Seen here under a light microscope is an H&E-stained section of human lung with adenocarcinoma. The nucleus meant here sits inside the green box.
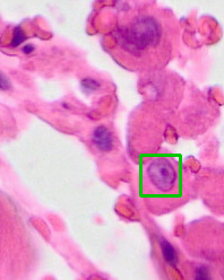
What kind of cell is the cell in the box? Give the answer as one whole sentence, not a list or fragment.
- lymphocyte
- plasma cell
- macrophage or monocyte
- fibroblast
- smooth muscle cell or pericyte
In this field of tissue, the cell in the box is a macrophage or monocyte.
